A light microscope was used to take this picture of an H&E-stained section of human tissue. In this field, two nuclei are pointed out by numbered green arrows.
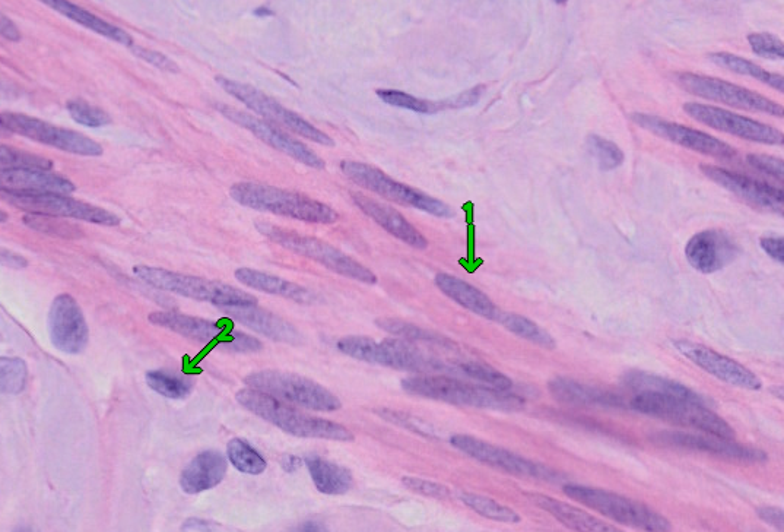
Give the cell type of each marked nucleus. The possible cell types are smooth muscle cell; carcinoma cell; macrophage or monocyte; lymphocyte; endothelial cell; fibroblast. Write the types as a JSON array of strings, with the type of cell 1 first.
["smooth muscle cell", "fibroblast"]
